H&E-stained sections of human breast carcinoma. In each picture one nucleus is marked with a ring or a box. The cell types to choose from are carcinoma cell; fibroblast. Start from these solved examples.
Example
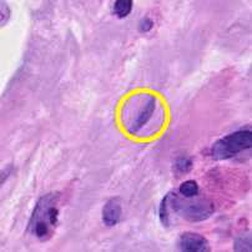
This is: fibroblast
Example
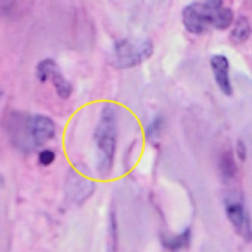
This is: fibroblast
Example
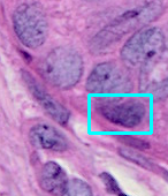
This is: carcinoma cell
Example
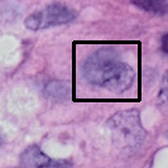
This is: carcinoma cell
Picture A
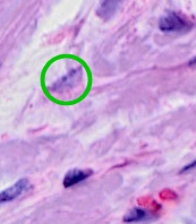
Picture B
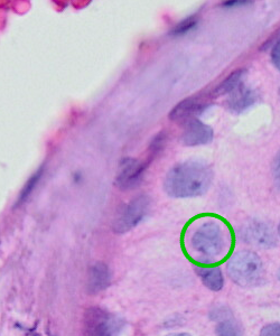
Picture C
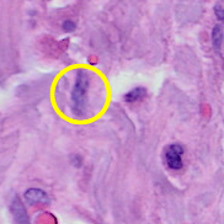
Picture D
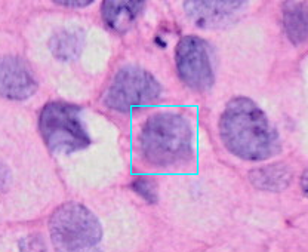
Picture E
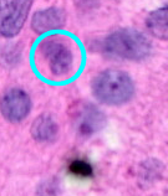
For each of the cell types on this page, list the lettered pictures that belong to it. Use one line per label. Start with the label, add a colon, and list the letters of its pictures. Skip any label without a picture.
carcinoma cell: B, D, E
fibroblast: A, C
